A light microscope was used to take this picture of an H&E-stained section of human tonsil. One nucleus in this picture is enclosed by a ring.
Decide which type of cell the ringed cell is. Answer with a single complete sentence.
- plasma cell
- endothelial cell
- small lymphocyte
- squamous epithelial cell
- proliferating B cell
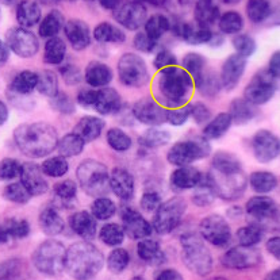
In this tissue section, the ringed cell is to be classed as a small lymphocyte.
